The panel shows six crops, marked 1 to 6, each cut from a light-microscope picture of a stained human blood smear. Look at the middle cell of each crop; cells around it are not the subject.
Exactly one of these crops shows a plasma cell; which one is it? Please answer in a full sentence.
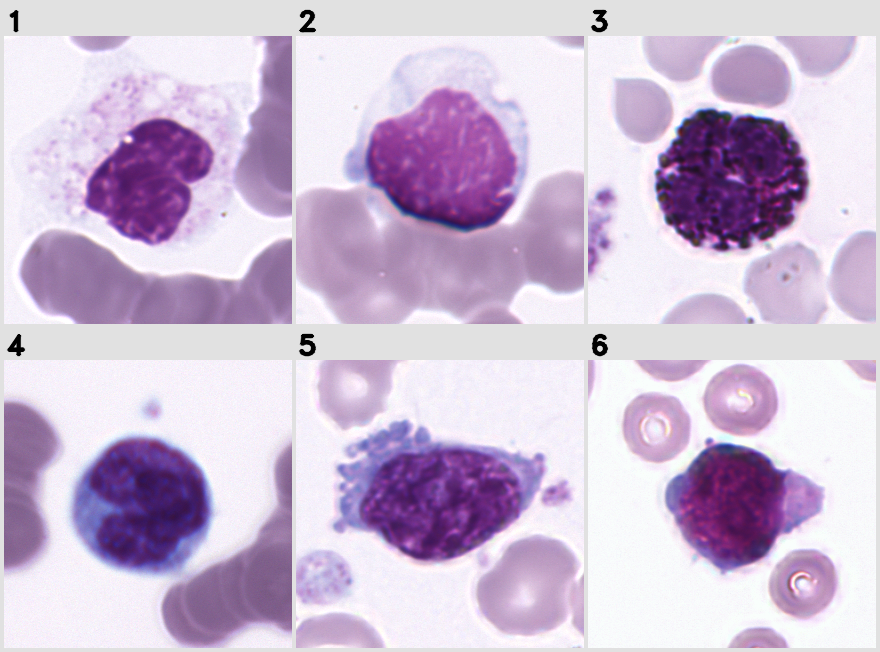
It is crop 5 that shows a plasma cell.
